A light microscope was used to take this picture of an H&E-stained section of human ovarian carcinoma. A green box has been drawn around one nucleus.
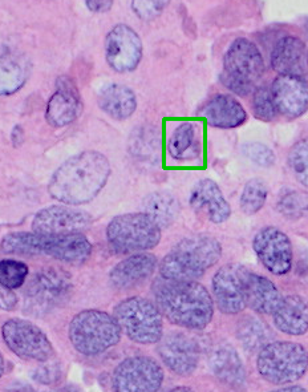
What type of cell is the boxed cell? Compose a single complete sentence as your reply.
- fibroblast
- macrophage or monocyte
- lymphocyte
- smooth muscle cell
By its classification, the boxed cell is a macrophage or monocyte.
